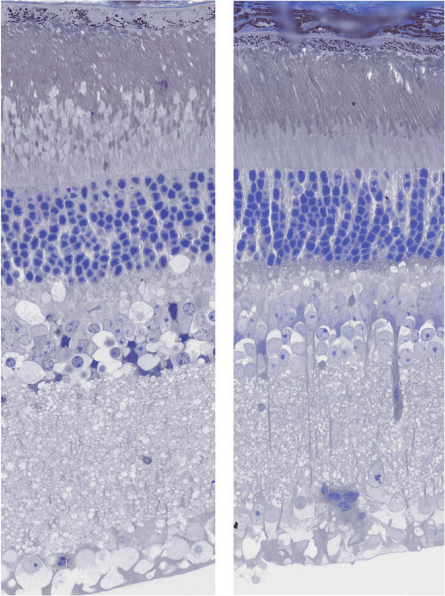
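Two full-thickness sections of retina are shown side by side, each with its layers stacked from the pigment epithelium at the top to the ganglion cell layer at the bottom. Below the dark-granuled pigment epithelium lie the pale, striated outer and inner segments, then a thick outer nuclear layer of small, tightly packed, deep blue nuclei. A thin pale outer plexiform layer separates it from the inner nuclear layer, whose cells are larger with paler nuclei. A broad, finely meshed inner plexiform layer lies beneath, with scattered larger cell bodies of the ganglion cell layer along the bottom edge.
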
